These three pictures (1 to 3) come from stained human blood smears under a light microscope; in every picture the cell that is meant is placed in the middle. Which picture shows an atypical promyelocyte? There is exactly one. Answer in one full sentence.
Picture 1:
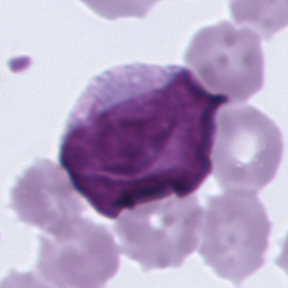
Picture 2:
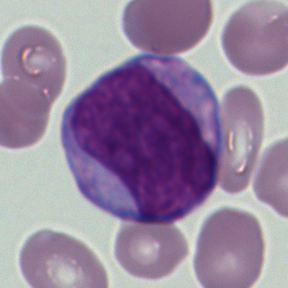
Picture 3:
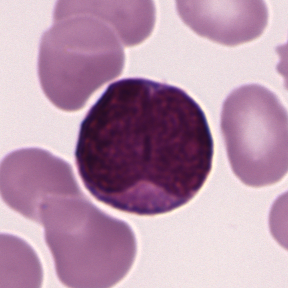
It is picture 2 that shows the atypical promyelocyte.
